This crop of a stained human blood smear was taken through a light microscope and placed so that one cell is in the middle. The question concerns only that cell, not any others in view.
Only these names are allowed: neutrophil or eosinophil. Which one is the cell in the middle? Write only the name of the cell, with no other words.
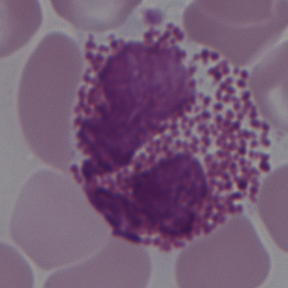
eosinophil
